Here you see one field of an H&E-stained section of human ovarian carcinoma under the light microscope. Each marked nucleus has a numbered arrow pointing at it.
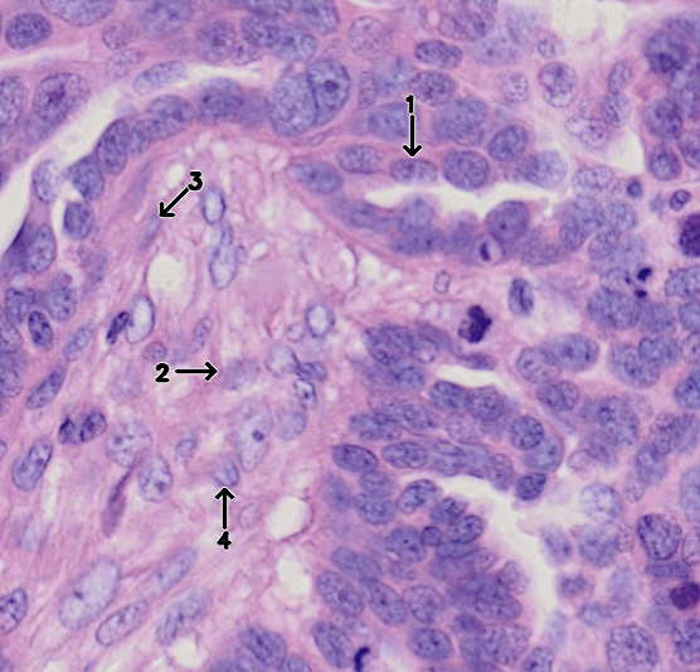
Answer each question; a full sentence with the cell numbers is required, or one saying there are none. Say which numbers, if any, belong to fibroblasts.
Within the section, cells numbered 2, 3 and 4 are fibroblasts.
